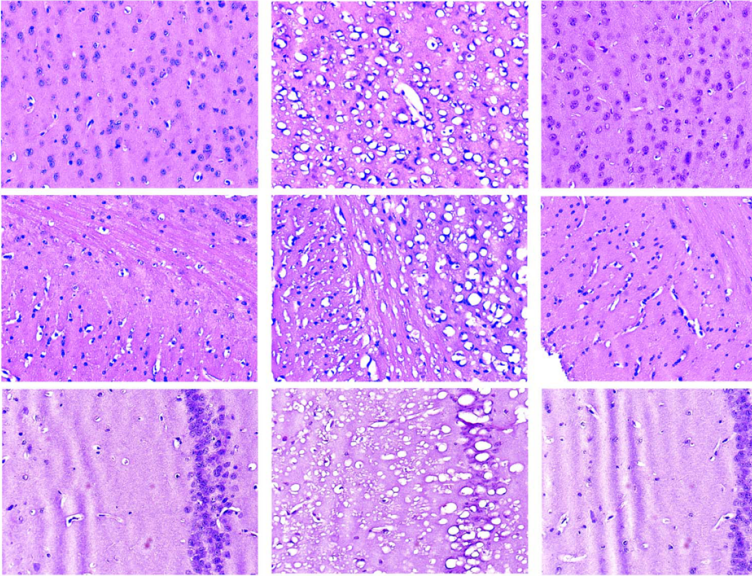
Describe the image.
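This is a grid of pink-stained brain tissue with small purple nuclei. The top row shows grey matter with scattered round nuclei. The bottom row shows a dense band of closely packed, dark purple neuronal nuclei. In the middle column, all three regions are riddled with many round, clear, empty spaces. These are vacuoles, and the middle column also shows shrunken, darkly stained cells. The other two columns look much more compact, with few such spaces.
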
